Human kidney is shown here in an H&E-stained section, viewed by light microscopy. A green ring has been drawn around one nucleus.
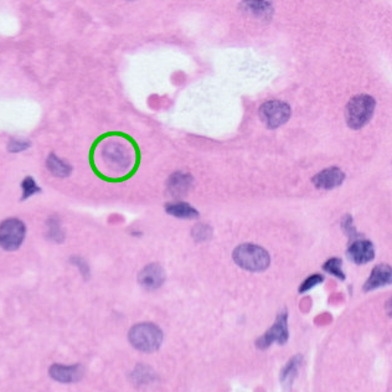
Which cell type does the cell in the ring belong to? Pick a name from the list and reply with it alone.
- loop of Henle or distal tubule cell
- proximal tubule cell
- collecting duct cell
proximal tubule cell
